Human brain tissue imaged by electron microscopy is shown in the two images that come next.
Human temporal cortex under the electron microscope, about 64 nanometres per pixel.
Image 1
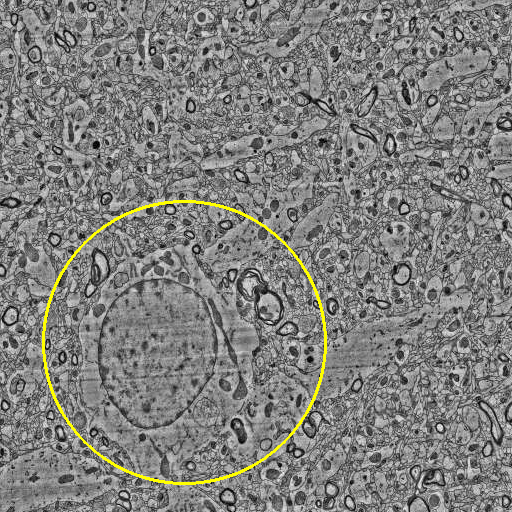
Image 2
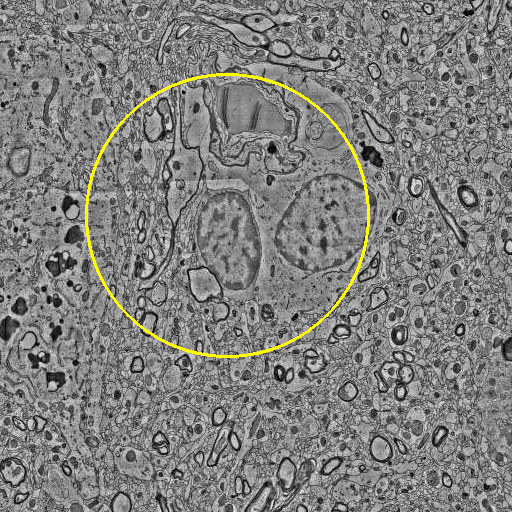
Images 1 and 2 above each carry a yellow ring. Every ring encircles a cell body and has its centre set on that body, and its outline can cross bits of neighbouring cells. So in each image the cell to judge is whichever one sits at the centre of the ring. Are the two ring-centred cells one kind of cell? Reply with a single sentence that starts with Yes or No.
No, in Image 1 and Image 2 the cells at the centres of their rings fall into two types.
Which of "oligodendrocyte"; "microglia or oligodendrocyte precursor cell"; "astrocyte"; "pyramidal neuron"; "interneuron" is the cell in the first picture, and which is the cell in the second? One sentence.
The two differ: the first cell is an astrocyte and the second is an oligodendrocyte.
